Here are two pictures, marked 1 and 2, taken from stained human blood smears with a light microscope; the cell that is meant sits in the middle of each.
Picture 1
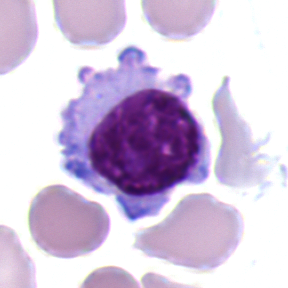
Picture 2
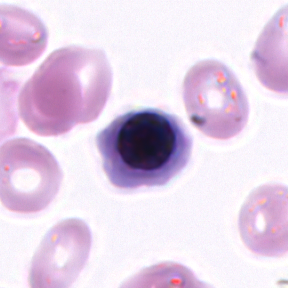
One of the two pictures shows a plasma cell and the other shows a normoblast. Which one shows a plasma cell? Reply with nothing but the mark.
1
